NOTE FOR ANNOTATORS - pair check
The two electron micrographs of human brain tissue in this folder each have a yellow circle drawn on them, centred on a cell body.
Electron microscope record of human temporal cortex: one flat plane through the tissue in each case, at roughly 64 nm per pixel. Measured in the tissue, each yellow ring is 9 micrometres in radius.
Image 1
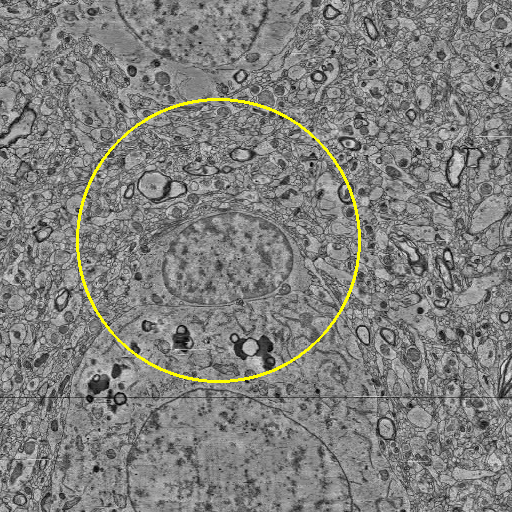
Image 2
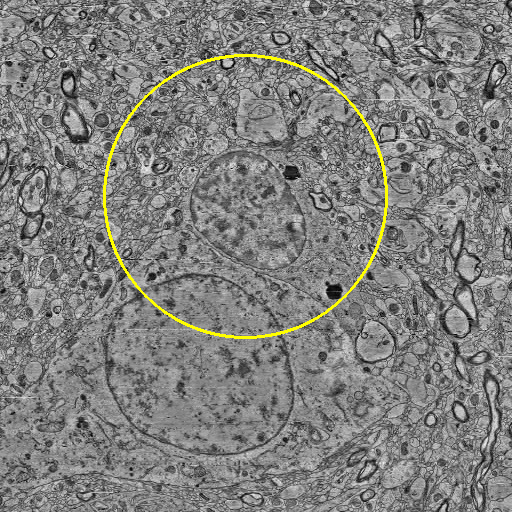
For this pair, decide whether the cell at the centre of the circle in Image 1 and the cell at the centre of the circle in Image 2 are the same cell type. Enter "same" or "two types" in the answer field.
same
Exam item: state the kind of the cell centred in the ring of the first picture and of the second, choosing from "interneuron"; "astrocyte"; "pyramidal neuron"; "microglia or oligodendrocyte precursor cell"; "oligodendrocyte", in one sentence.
Each of the ringed cells, first and second, is an oligodendrocyte.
